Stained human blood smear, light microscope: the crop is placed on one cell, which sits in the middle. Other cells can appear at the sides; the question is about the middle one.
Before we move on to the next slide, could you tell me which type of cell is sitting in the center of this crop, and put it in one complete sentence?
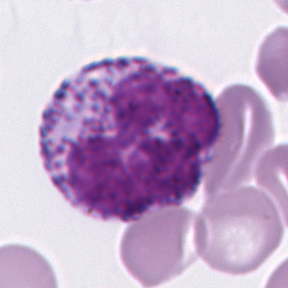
By classification, the middle cell of this crop is a basophil.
